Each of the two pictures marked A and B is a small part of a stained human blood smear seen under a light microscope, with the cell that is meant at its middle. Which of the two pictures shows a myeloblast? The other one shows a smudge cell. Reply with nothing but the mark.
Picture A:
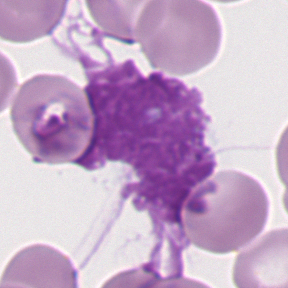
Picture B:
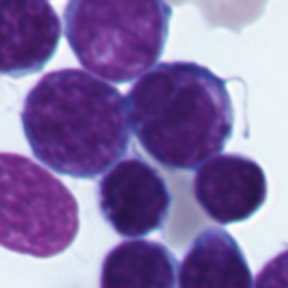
B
